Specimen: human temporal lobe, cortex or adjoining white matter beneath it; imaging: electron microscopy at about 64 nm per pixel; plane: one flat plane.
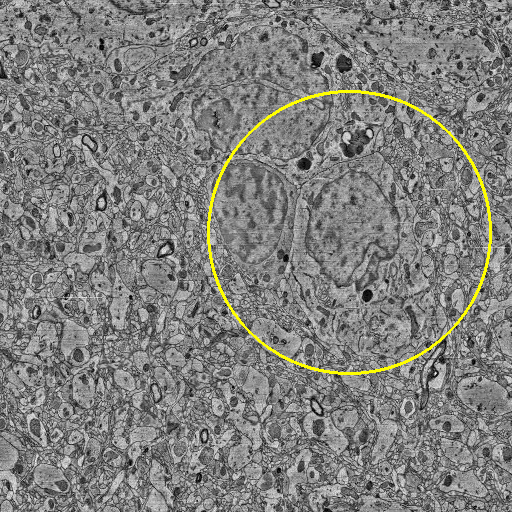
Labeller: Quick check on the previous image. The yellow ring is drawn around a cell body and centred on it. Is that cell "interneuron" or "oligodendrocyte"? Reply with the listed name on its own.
interneuron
